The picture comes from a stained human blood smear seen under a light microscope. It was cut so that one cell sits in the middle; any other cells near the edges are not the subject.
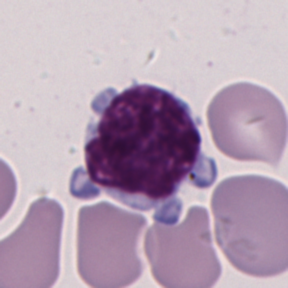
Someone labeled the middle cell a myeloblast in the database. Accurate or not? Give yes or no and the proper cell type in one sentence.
No, instead of a myeloblast, the centred cell represents a typical lymphocyte.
